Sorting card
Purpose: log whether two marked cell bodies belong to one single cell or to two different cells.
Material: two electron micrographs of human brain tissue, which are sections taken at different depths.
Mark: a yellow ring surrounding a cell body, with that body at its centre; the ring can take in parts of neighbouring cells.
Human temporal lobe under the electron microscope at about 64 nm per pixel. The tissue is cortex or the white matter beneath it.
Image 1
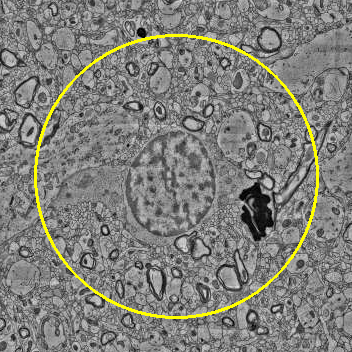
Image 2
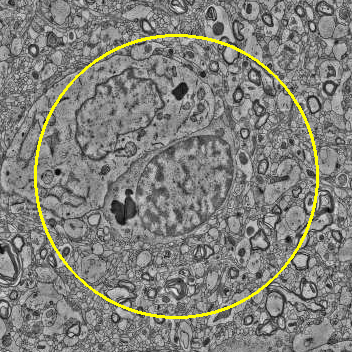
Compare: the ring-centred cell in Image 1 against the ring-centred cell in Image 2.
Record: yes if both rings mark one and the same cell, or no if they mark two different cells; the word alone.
no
